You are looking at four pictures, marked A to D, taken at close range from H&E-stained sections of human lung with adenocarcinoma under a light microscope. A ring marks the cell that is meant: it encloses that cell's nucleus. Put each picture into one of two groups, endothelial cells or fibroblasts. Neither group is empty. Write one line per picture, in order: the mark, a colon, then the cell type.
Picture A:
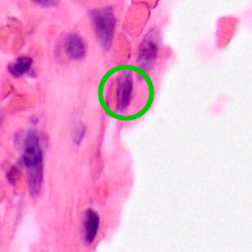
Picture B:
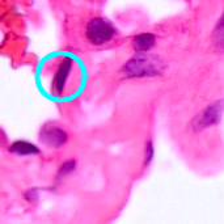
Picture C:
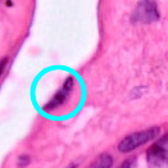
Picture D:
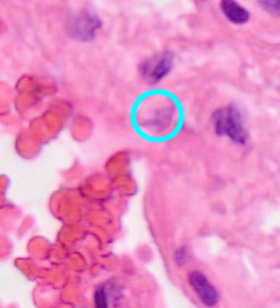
A: endothelial cell
B: endothelial cell
C: endothelial cell
D: fibroblast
